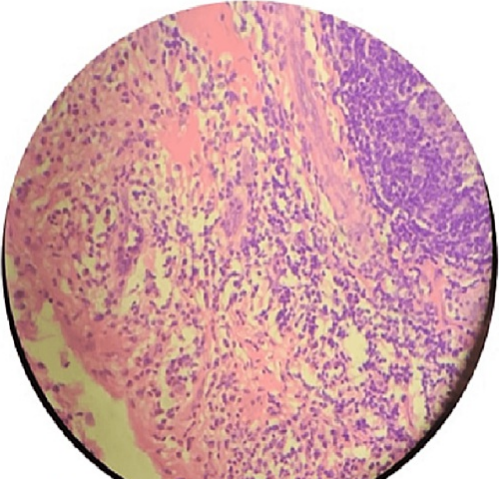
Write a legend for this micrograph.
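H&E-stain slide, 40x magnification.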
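A mixed inflammatory infiltrate lies within loose pink connective tissue. Many scattered cells with small dark nuclei and pink cytoplasm are spread between bands of eosinophilic collagen and pale clear areas. On the right side a denser aggregate of small, darkly stained round cells is packed closely together.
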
